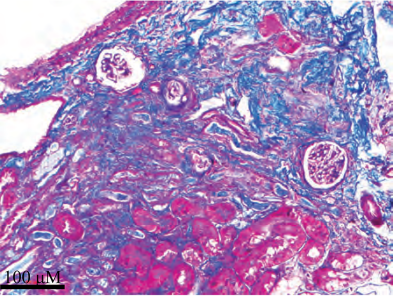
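This is kidney cortex in which wide areas of blue-stained fibrous tissue take up much of the field. A few round glomeruli, each with its tuft inside a pale space, lie embedded in or at the edge of this blue tissue, while red-stained tubules remain crowded in the lower part of the field.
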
